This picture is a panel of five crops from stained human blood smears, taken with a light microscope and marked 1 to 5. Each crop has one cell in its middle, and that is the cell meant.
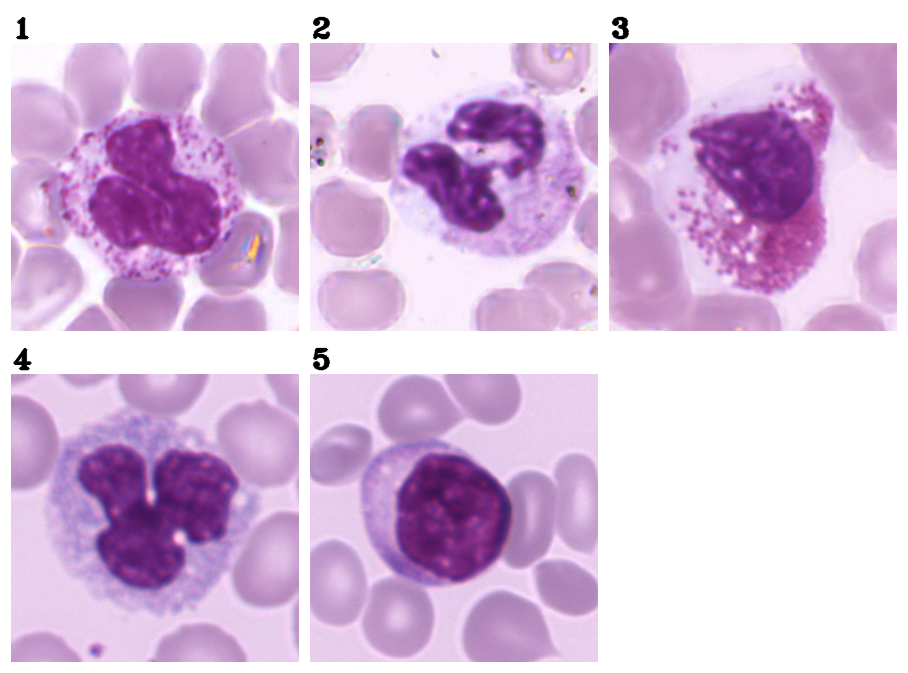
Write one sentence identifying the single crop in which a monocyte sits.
When the crops are compared, crop 4 is the one showing a monocyte.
